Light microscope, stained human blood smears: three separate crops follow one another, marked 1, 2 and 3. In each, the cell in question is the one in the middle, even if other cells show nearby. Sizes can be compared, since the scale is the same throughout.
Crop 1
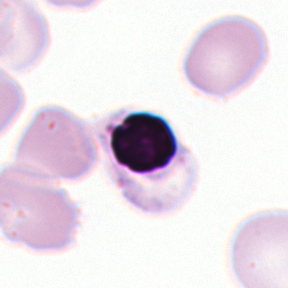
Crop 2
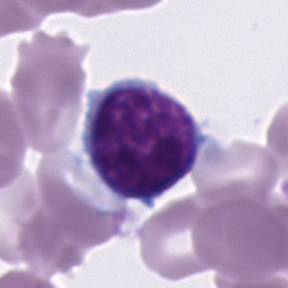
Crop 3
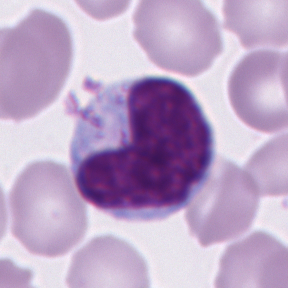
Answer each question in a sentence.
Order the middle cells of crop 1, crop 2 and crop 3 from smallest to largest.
Going up, they run 1, 2, 3.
